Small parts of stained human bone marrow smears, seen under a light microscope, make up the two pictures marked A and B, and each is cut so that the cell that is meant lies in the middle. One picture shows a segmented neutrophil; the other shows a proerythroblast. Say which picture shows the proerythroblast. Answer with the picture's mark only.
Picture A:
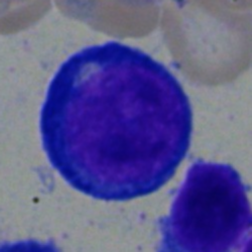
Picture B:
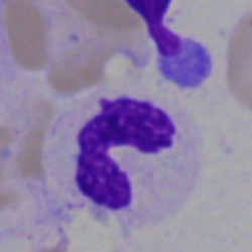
A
